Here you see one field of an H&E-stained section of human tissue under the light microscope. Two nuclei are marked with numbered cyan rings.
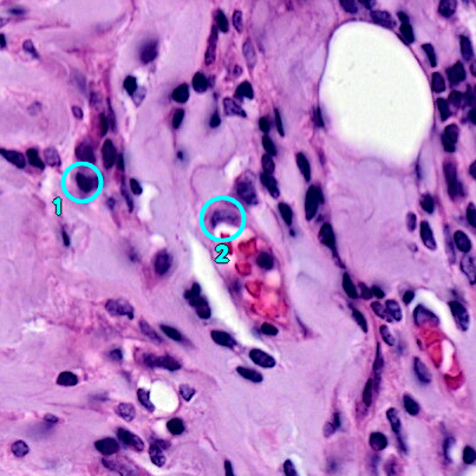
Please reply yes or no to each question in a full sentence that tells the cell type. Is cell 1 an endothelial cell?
No, cell 1 is not an endothelial cell; a lymphocyte is the correct identification.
